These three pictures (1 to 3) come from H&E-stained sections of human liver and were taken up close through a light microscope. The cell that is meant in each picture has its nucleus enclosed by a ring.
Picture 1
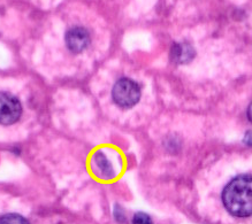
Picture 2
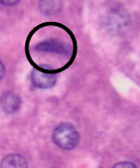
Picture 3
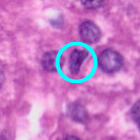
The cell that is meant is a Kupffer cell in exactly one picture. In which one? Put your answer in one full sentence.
The picture with the Kupffer cell is 1.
